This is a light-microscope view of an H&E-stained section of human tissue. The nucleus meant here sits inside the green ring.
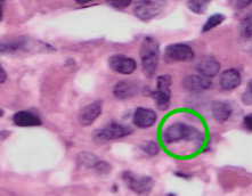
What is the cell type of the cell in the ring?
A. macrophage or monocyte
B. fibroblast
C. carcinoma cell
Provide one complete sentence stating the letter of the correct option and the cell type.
Option A properly identifies the cell in the ring as a macrophage or monocyte.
